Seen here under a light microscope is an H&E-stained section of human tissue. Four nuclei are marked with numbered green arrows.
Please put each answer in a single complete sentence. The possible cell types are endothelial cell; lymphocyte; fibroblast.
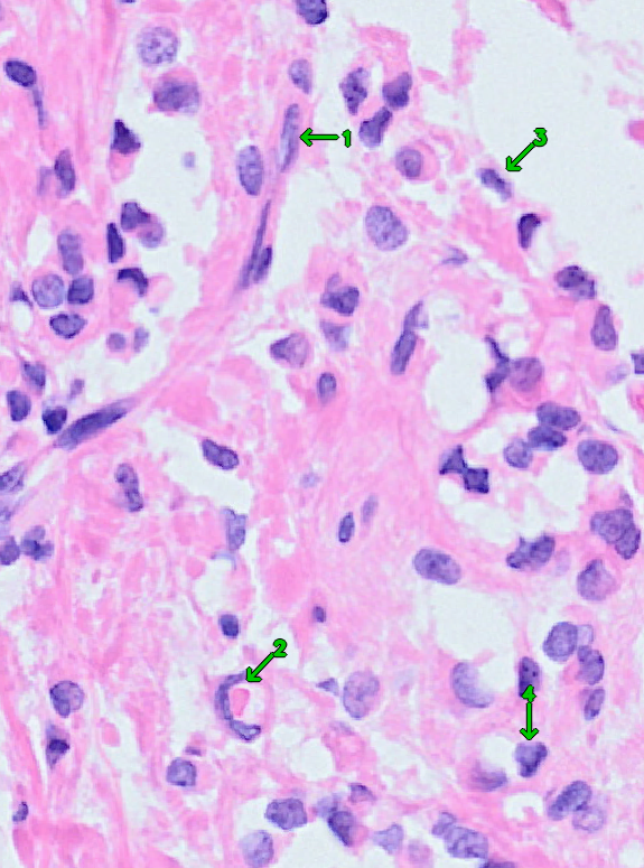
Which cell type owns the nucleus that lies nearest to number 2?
The cell nearest to number 2 is an endothelial cell.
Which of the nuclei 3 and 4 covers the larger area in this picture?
The larger nucleus is 4, at roughly 1.5 times the area of 3.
